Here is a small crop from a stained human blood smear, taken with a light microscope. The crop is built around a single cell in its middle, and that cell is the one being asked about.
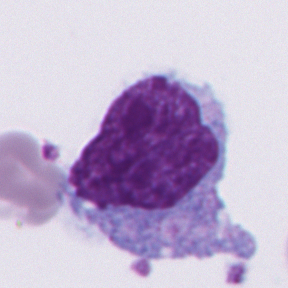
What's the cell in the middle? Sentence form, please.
The cell in the exact centre of the crop is a monocyte.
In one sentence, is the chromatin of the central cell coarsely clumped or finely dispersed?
Heads up, the chromatin in this one is coarsely clumped.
